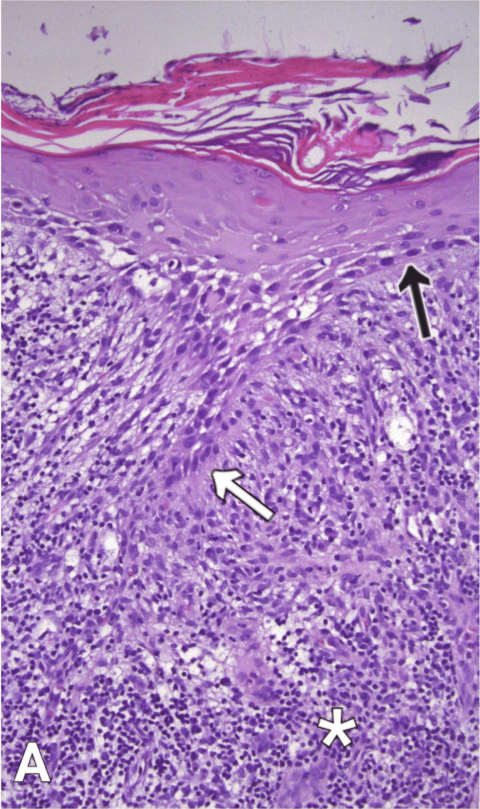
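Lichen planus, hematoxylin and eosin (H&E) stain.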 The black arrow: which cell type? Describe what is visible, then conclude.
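Flattened epidermal basal cells. The black arrow points to the lowest layer of the epidermis. Cells there have elongated, flat nuclei lying parallel to the surface.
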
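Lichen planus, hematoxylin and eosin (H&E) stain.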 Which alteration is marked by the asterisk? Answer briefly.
Dermal lymphohistiocytic infiltrate.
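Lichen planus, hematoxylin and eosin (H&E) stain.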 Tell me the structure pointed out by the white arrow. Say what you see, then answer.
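The lower border of the epidermis comes down to a pointed tip where the white arrow is. The pointed epidermal projection is closely bordered by dense dermal cells.
Answer: Sawtoothed rete ridges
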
